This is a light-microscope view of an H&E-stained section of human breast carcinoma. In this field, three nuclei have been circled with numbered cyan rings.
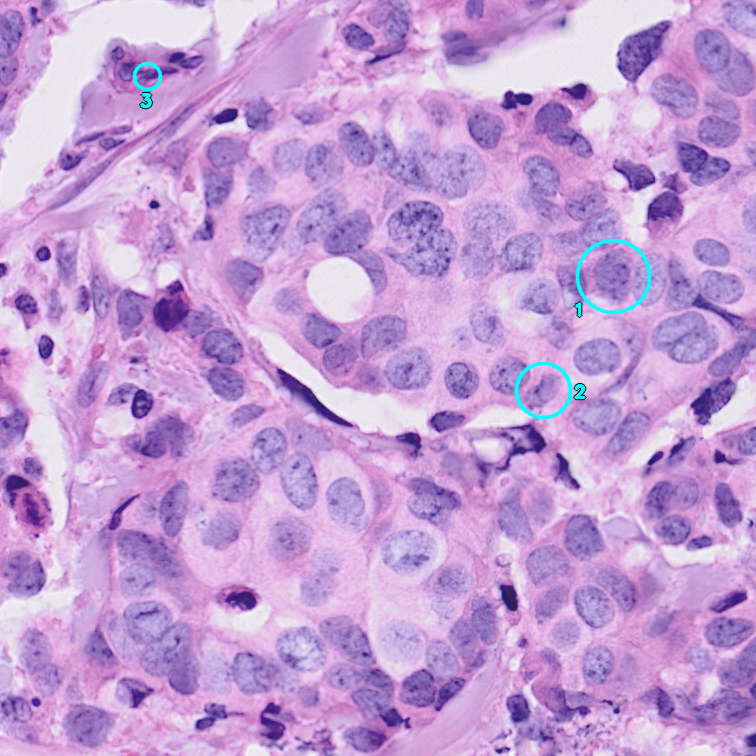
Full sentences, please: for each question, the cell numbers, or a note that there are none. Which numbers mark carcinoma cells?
When it comes to cells 1 and 2, they are carcinoma cells.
